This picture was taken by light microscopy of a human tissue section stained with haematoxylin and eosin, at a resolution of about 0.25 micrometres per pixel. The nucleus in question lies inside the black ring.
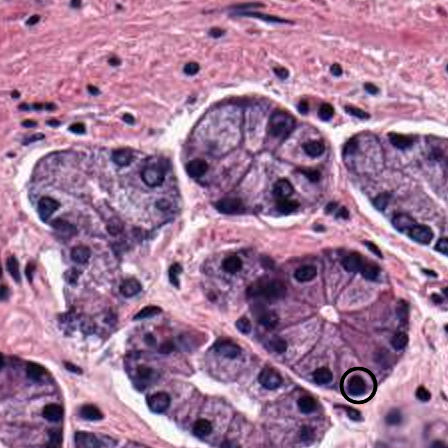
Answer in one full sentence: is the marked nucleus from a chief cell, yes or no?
Yes, the marked nucleus belongs, in this section, to a chief cell.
